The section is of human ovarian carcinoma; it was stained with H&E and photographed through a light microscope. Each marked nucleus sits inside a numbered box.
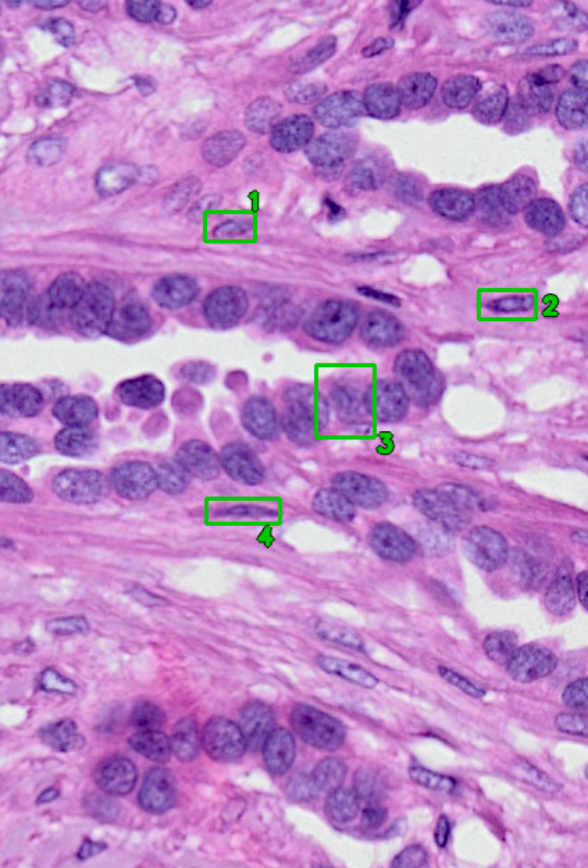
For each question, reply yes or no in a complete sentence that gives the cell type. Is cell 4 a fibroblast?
Yes, the cell tagged with number 4 is a fibroblast.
